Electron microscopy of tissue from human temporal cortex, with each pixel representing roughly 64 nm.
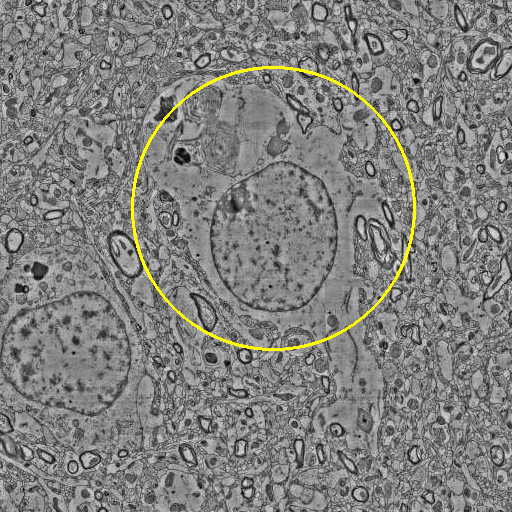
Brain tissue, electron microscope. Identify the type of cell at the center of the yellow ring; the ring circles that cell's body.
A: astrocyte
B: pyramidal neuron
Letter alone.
A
